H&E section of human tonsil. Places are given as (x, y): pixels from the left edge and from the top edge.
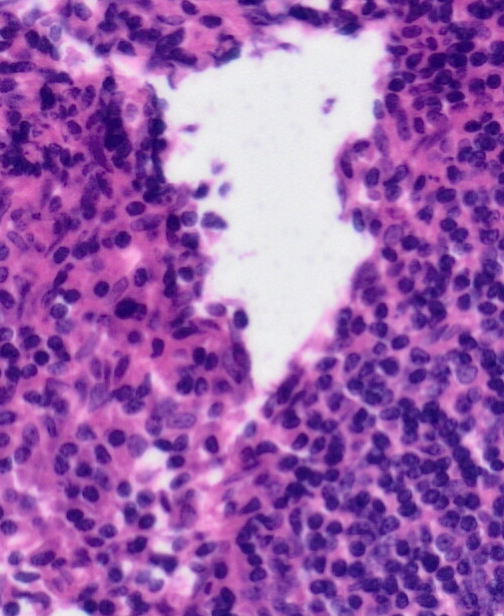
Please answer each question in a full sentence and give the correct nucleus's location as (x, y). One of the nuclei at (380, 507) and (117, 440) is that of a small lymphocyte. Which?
Of the two nuclei, the nucleus belonging to a small lymphocyte is located at (380, 507).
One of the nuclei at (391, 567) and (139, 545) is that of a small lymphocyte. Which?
The nucleus that sits at (391, 567) is the nucleus of a small lymphocyte.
